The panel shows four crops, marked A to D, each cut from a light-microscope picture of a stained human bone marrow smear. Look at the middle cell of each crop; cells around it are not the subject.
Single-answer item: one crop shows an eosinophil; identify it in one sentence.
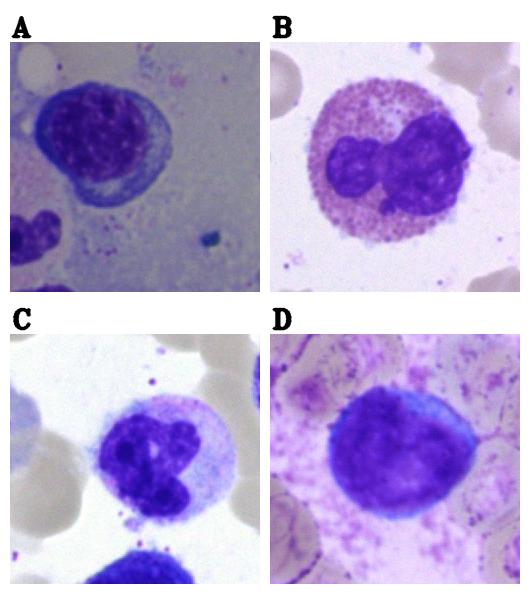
It is in crop B that an eosinophil is shown.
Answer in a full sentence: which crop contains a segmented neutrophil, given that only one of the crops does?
Selected crop: C, which is the one that shows a segmented neutrophil.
